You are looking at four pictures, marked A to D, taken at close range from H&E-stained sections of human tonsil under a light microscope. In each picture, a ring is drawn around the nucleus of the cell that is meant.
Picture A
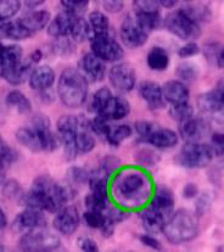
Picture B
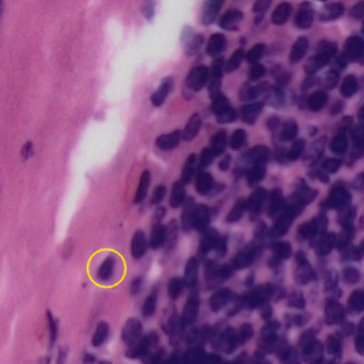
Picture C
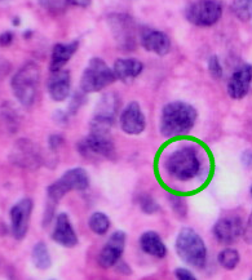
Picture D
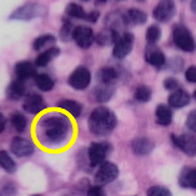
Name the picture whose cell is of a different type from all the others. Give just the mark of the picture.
B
